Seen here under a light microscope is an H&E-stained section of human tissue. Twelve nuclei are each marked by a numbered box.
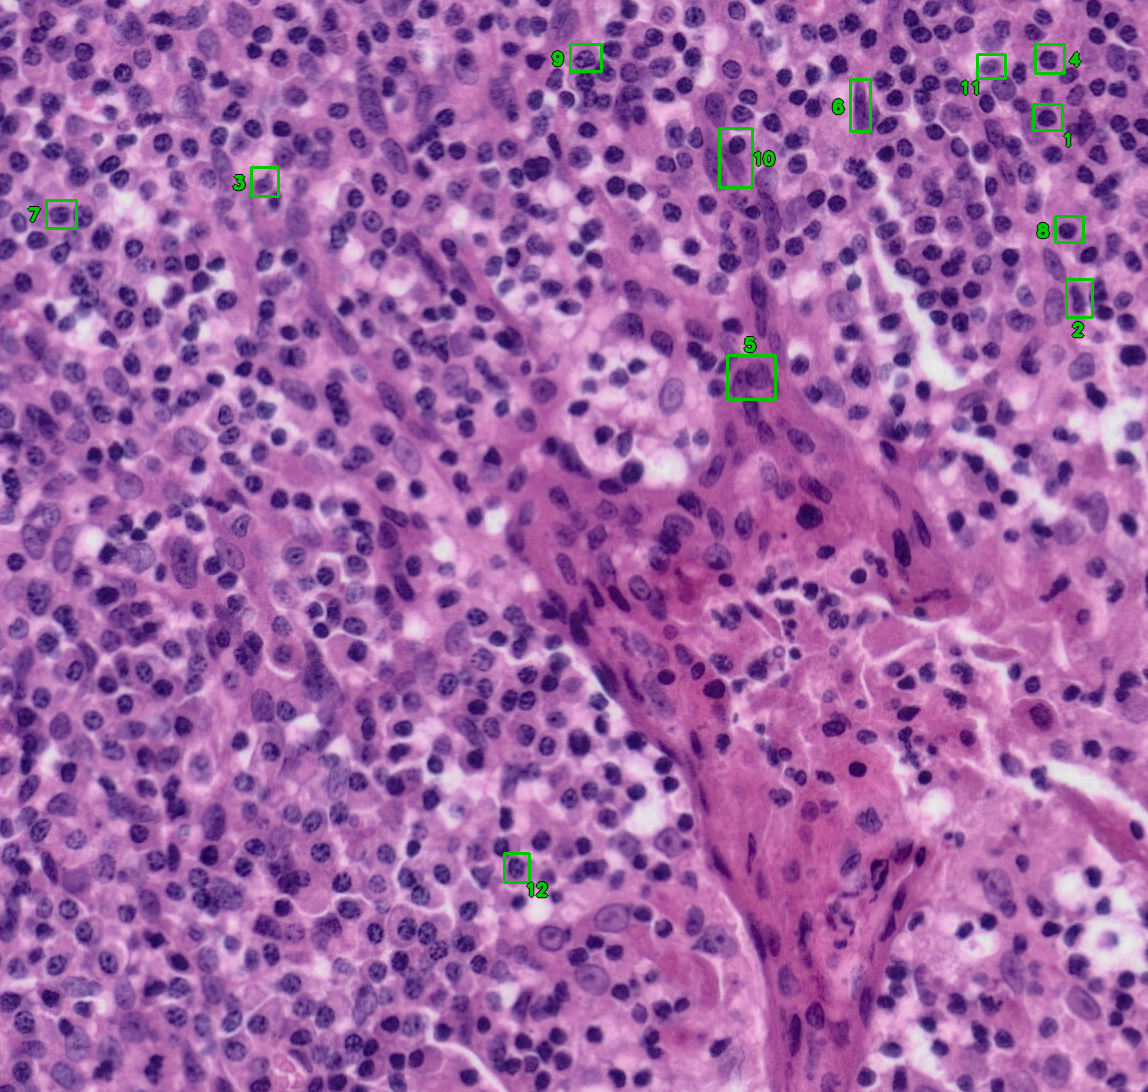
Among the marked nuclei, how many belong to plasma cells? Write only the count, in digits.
7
